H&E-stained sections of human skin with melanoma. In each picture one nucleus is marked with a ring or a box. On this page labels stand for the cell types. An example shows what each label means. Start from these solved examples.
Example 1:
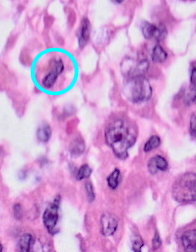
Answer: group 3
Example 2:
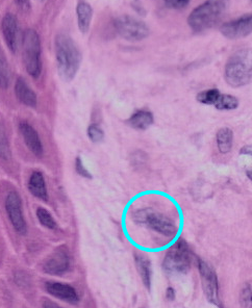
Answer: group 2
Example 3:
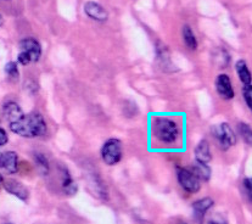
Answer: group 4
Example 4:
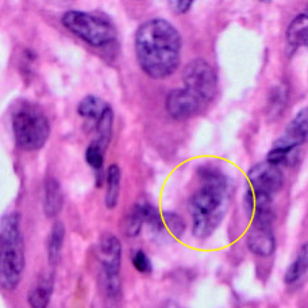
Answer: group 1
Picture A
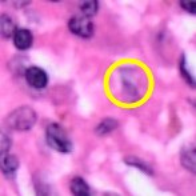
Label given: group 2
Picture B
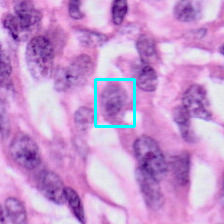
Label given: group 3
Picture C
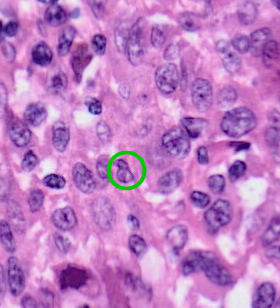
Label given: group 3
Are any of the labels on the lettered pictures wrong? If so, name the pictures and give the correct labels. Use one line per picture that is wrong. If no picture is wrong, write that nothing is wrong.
B should be group 1, not group 3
